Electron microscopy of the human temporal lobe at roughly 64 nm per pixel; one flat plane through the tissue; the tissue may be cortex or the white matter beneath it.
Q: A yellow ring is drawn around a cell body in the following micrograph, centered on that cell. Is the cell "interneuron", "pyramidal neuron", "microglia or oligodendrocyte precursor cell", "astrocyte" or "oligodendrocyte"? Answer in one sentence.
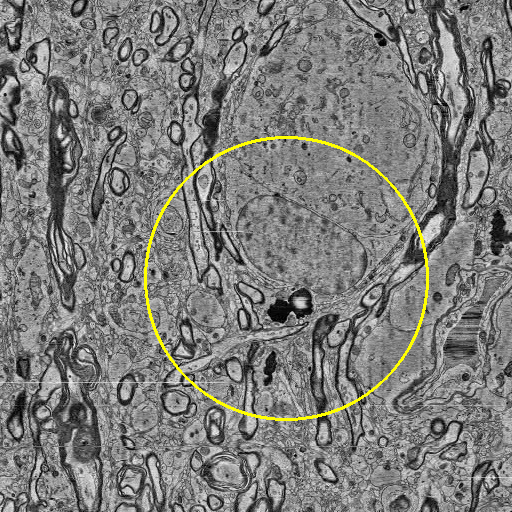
The cell in the center of the ring is a microglial cell or oligodendrocyte precursor cell.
